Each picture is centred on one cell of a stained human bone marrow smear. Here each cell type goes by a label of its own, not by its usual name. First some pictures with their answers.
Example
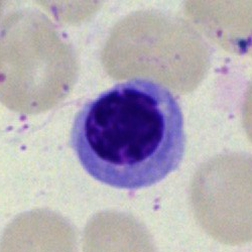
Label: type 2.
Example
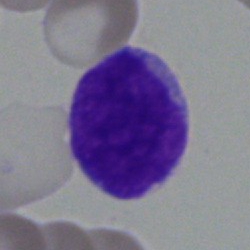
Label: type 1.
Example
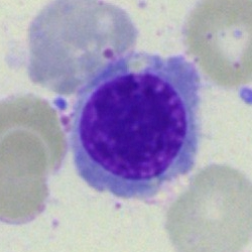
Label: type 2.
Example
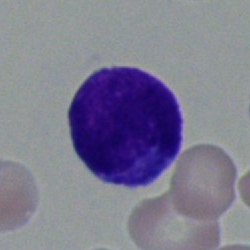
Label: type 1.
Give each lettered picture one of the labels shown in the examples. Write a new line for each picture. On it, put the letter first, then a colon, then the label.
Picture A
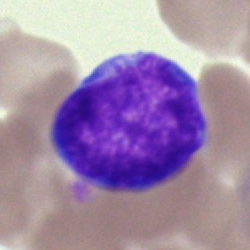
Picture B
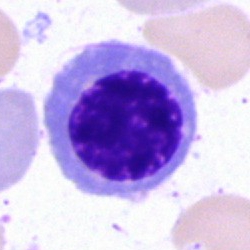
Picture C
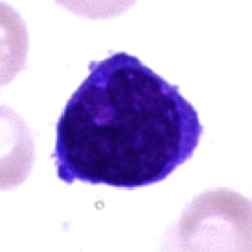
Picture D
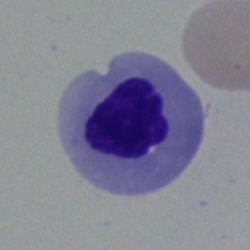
A: type 1.
B: type 2.
C: type 1.
D: type 2.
